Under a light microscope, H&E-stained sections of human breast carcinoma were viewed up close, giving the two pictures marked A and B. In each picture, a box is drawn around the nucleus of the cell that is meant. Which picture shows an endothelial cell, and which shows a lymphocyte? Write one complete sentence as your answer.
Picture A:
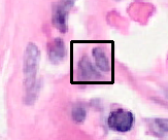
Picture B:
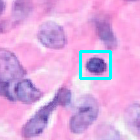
The cell in picture A is an endothelial cell, and the one in picture B is a lymphocyte.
